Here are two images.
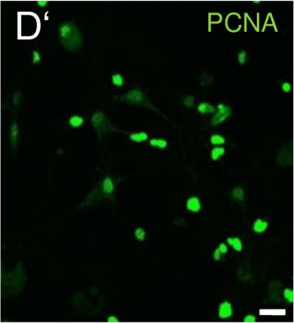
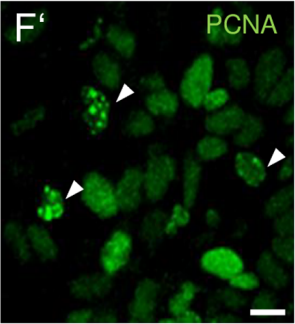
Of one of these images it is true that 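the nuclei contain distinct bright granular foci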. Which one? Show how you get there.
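The second image. Second image: several nuclei show multiple bright green dots. First image: green nuclei are evenly and smoothly bright, without dots.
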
